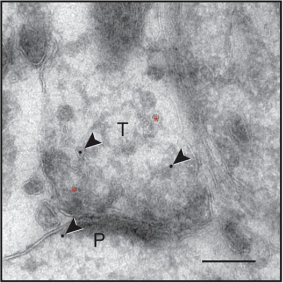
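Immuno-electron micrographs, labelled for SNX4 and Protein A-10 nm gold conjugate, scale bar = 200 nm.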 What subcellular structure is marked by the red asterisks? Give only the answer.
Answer: synaptic vesicles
